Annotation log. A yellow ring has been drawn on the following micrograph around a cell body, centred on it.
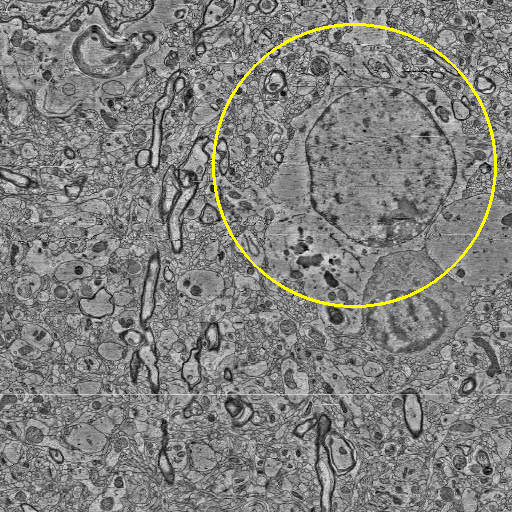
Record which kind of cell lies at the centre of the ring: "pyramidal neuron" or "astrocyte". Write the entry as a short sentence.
The cell the ring is centred on is an astrocyte.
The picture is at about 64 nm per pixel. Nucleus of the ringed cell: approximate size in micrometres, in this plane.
About 10 micrometres across in this plane, for the nucleus.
